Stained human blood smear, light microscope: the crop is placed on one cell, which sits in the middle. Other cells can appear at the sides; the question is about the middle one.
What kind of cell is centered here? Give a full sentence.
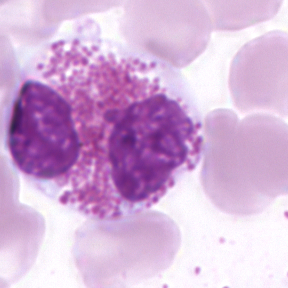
The crop shows an eosinophil in its centre.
